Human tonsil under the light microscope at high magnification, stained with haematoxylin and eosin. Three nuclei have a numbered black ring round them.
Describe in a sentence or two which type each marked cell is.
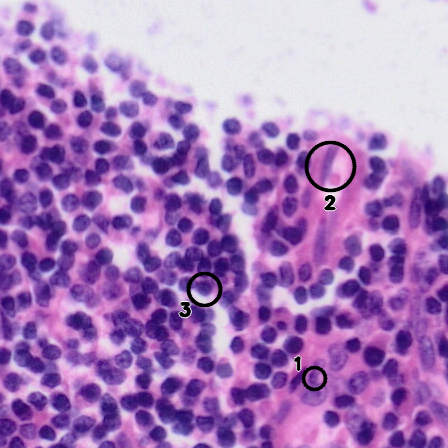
Cells 1 and 2 are endothelial cells. Cell 3 is a small lymphocyte.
